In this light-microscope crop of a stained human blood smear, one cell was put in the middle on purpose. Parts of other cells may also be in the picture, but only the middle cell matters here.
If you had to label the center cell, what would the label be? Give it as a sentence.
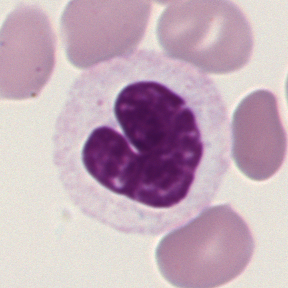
Here the cell in the middle is a band neutrophil.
